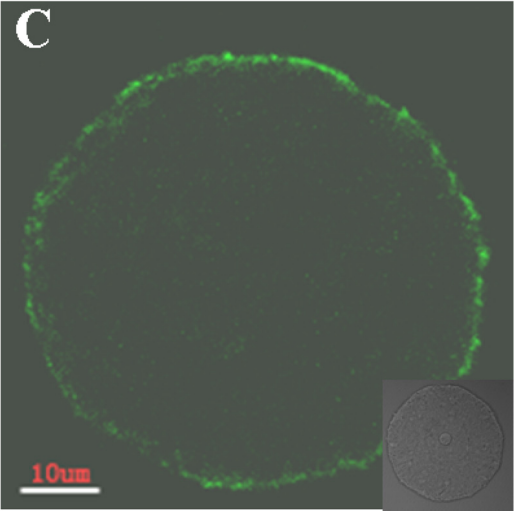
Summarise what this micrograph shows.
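A single large round oocyte fills the field, its edge traced by a continuous, bright, somewhat granular green rim. The interior of the cell is dark with only faint fine speckles, so the signal is confined to the cell membrane.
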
